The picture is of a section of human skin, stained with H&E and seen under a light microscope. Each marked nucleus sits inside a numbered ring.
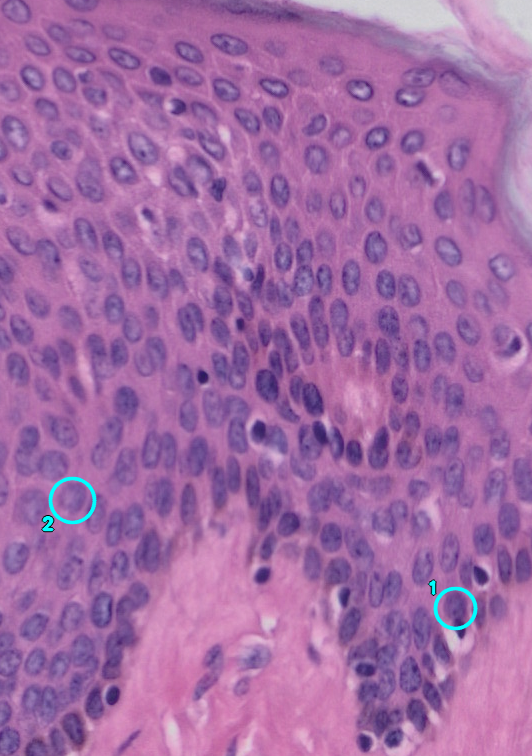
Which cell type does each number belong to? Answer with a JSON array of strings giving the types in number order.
["basal keratinocyte", "suprabasal keratinocyte"]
